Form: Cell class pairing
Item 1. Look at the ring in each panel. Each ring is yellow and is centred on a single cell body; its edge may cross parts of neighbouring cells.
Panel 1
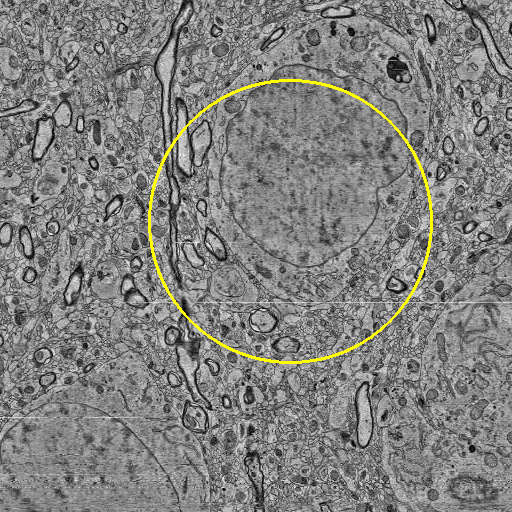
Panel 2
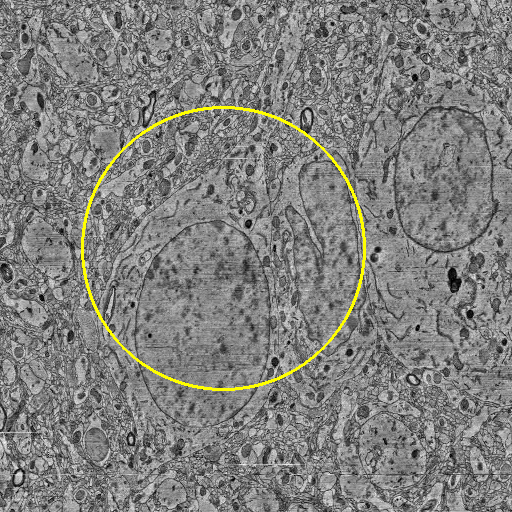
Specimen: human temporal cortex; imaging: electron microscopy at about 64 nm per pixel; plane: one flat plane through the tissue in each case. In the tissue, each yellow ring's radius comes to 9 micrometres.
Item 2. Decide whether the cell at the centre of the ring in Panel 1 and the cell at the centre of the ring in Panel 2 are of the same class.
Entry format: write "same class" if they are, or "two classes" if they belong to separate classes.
same class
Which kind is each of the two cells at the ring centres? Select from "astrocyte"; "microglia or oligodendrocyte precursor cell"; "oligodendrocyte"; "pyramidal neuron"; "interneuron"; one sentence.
Each of the two cells is a pyramidal neuron.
